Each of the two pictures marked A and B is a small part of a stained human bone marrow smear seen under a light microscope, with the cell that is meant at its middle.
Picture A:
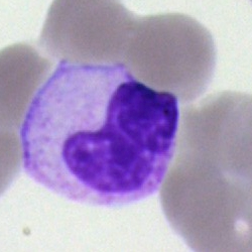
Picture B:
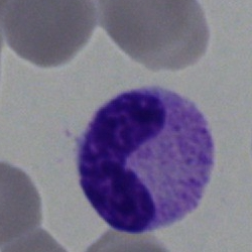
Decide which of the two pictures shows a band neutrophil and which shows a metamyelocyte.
A: metamyelocyte
B: band neutrophil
